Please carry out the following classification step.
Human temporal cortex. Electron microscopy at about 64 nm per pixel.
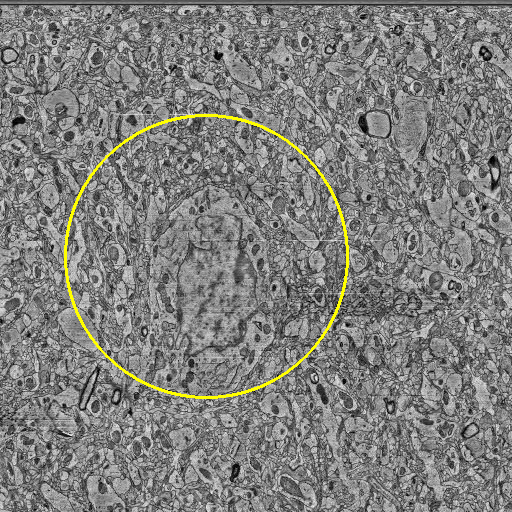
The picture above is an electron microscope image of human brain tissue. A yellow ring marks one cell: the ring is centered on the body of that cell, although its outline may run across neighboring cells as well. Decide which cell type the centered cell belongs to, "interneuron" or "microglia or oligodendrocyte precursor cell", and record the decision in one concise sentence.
The cell centered in the yellow ring is an interneuron.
